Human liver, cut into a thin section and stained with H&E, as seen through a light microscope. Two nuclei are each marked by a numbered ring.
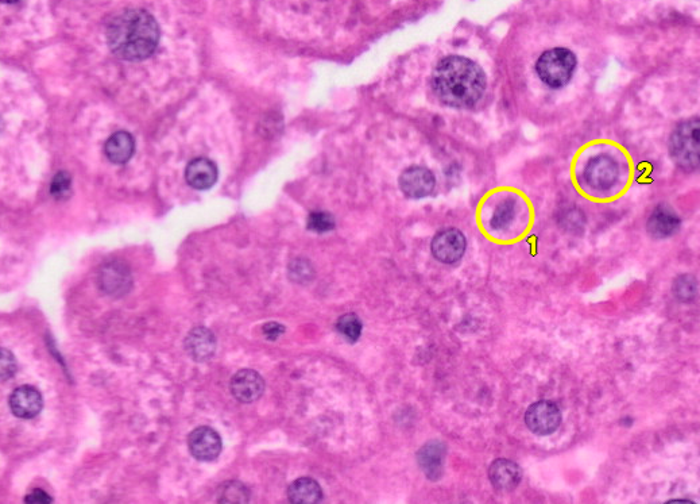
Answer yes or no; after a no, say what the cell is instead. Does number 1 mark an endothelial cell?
Yes.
